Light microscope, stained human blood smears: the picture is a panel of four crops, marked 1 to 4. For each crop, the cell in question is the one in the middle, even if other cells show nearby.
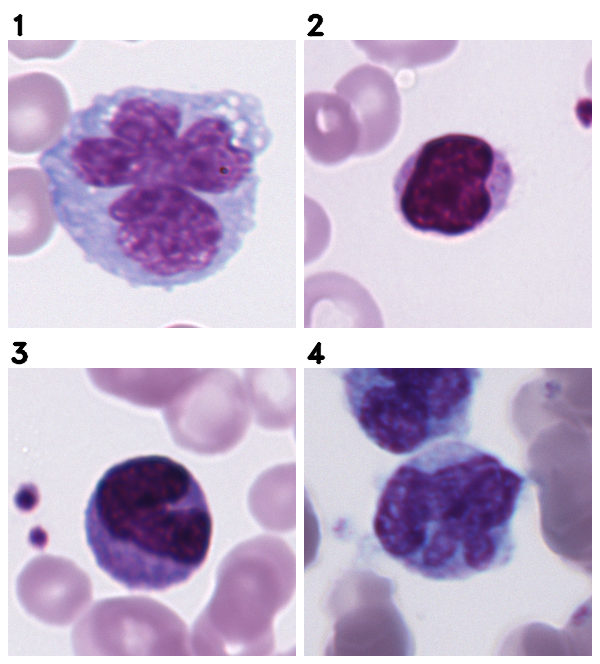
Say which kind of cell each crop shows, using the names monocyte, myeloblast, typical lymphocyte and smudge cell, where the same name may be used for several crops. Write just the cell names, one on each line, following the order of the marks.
monocyte
typical lymphocyte
monocyte
monocyte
